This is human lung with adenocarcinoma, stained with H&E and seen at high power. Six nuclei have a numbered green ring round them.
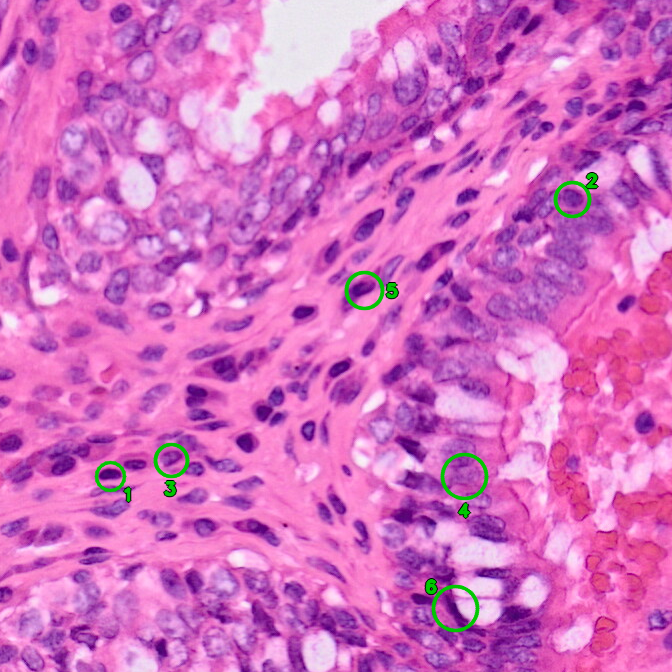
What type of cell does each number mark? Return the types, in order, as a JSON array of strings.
["plasma cell", "ciliated epithelial cell", "plasma cell", "ciliated epithelial cell", "plasma cell", "ciliated epithelial cell"]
